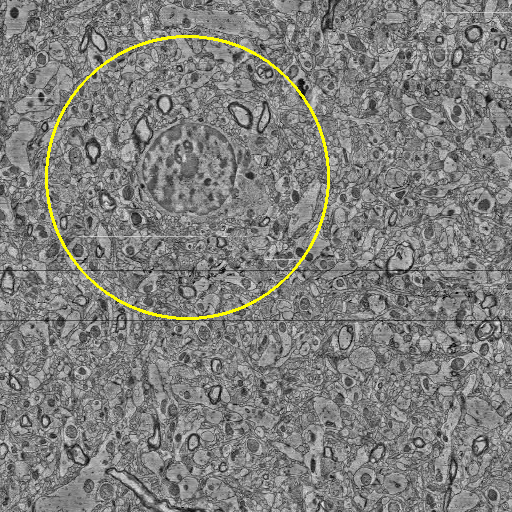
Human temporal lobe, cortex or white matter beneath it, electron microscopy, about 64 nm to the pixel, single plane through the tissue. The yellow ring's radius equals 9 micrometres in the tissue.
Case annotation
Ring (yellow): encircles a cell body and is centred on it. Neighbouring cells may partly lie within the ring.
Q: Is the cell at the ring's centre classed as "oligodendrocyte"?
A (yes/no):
yes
